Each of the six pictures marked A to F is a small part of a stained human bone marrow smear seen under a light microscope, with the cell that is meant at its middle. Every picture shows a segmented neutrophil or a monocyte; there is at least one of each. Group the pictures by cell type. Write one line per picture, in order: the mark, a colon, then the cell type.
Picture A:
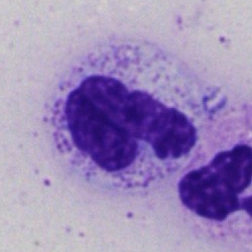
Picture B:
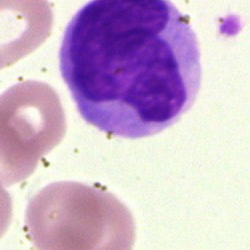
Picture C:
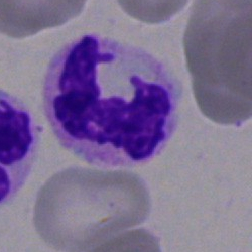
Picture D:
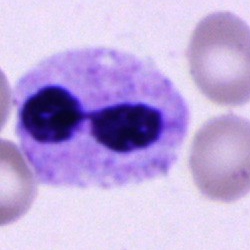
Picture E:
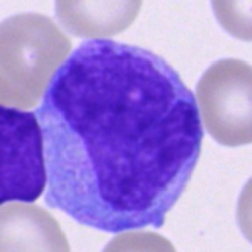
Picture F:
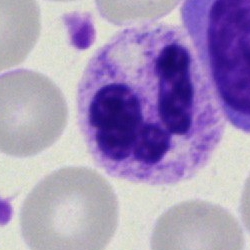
A: segmented neutrophil
B: monocyte
C: segmented neutrophil
D: segmented neutrophil
E: monocyte
F: segmented neutrophil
